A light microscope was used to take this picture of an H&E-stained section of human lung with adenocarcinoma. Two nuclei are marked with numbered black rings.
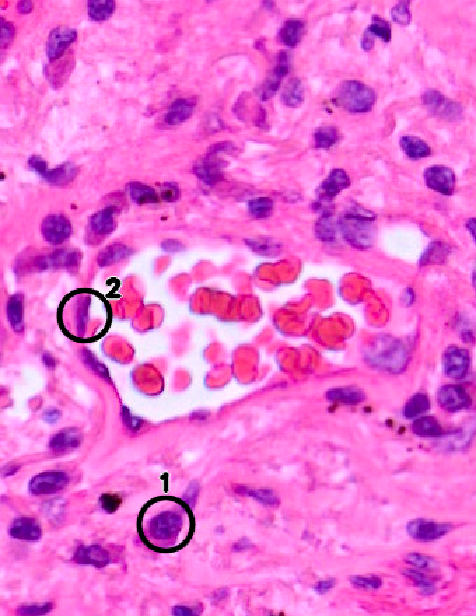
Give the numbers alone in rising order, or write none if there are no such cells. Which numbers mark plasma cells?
1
